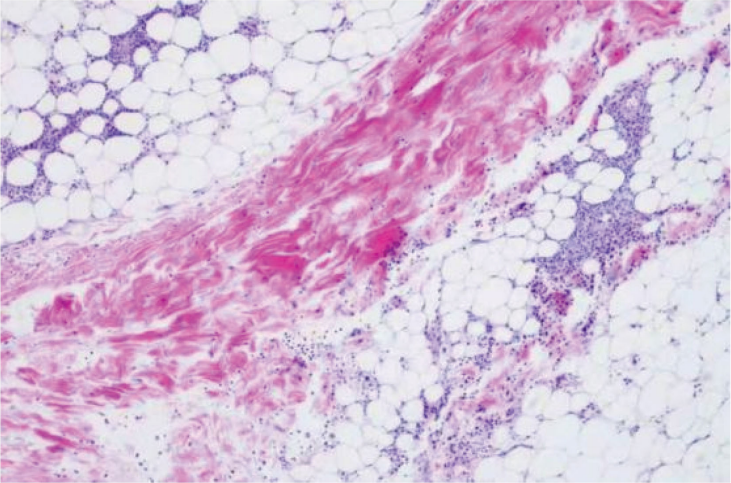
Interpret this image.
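Bone marrow at low power, with many round clear fat spaces separated by clusters of small dark-nucleated hematopoietic cells. A broad band of pink, wavy fibrous tissue runs diagonally across the field.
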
